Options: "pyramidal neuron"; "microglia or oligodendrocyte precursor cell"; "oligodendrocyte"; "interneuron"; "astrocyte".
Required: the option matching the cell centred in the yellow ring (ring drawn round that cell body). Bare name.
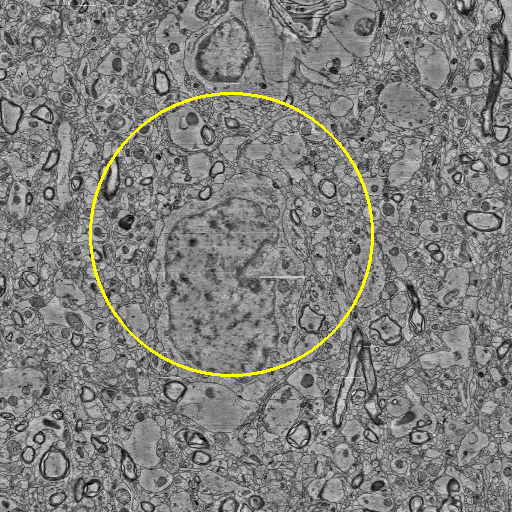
interneuron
